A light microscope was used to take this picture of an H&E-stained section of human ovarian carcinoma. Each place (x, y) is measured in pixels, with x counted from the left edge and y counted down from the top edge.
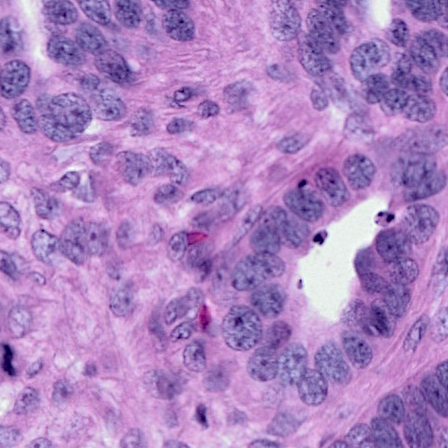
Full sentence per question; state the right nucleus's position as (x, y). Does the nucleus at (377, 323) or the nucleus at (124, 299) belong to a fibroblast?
Of the two nuclei present, the one at (124, 299) is within a fibroblast.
